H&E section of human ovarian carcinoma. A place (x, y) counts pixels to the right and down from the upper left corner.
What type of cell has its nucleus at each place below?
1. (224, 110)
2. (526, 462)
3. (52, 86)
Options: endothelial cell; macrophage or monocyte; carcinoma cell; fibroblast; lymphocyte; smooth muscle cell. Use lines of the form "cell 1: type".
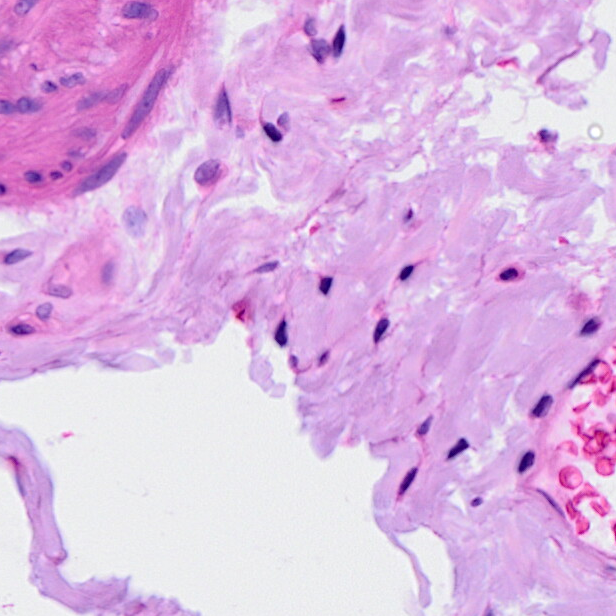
cell 1: fibroblast
cell 2: lymphocyte
cell 3: smooth muscle cell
